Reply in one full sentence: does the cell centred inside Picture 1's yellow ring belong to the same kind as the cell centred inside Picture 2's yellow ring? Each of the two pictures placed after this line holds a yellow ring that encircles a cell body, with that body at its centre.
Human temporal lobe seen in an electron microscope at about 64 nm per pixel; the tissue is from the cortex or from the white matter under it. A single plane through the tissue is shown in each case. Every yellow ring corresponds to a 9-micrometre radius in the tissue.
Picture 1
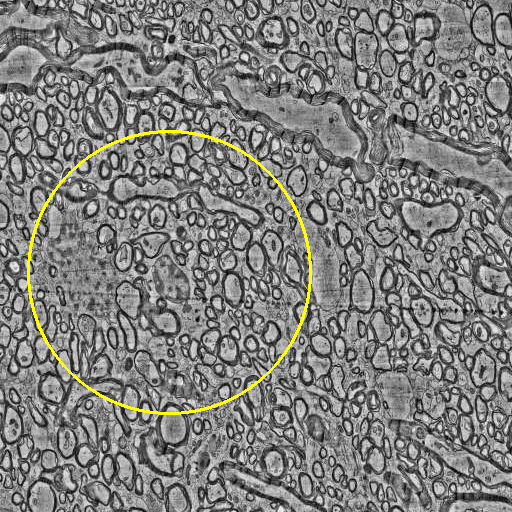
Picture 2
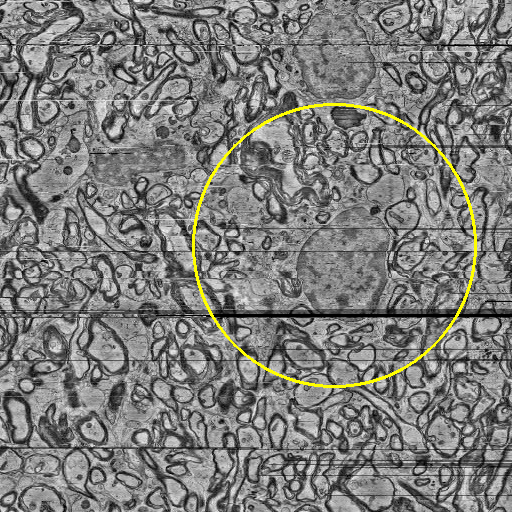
Yes, the ring-centred cells in Picture 1 and Picture 2 are of one and the same kind.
